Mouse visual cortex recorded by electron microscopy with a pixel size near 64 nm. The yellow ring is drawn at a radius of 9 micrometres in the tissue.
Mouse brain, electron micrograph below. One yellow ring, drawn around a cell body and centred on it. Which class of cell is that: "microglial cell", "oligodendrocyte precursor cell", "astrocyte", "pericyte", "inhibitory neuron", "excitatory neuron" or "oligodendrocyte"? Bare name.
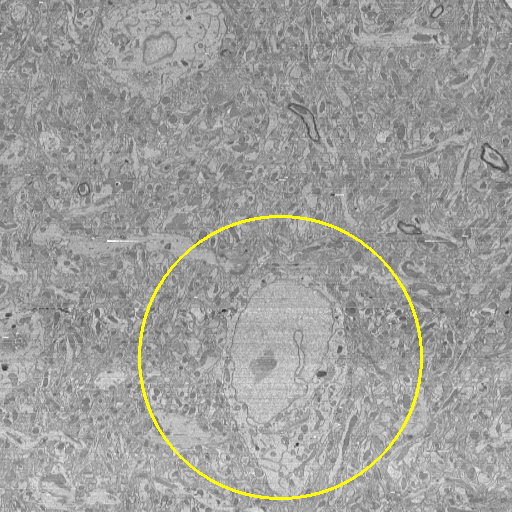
inhibitory neuron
